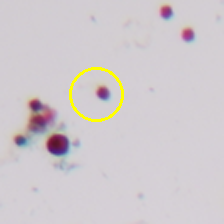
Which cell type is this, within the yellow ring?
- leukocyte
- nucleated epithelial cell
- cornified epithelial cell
Within the ring is a leukocyte.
